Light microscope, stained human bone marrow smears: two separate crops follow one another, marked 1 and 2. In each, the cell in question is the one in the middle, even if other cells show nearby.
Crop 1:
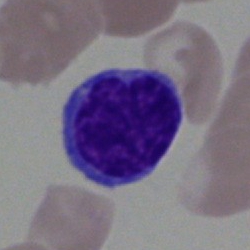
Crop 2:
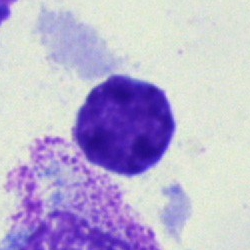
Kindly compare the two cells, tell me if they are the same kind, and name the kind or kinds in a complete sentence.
Yes, the two crops show lymphocytes, one cell each.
